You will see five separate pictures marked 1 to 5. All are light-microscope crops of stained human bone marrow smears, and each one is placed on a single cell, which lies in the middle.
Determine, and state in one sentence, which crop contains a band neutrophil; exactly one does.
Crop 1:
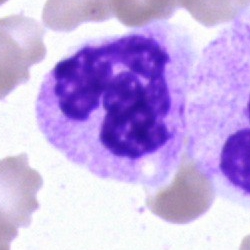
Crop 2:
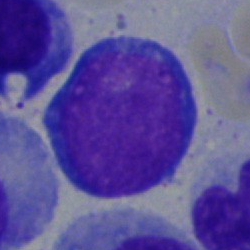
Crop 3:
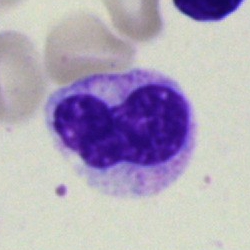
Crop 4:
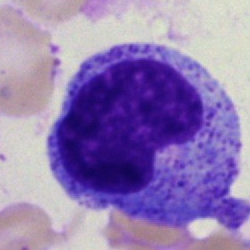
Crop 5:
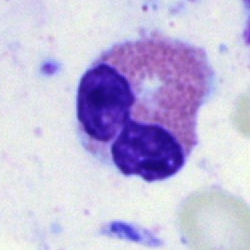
Identified crop: 3, the one that shows a band neutrophil.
